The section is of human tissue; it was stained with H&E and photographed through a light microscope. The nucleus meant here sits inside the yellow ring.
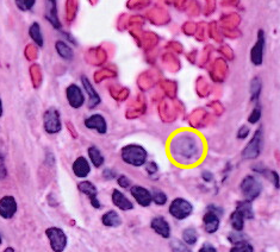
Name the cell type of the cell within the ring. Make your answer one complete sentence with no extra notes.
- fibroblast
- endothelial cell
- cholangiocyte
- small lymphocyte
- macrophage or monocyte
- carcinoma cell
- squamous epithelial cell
Labelled by cell type, the cell within the ring is an endothelial cell.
